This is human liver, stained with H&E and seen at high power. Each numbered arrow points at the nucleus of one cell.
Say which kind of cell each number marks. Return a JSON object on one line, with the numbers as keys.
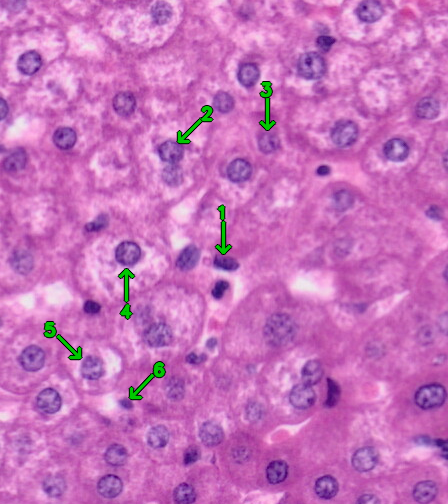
{"1": "endothelial cell", "2": "hepatocyte", "3": "hepatocyte", "4": "hepatocyte", "5": "hepatocyte", "6": "lymphocyte"}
